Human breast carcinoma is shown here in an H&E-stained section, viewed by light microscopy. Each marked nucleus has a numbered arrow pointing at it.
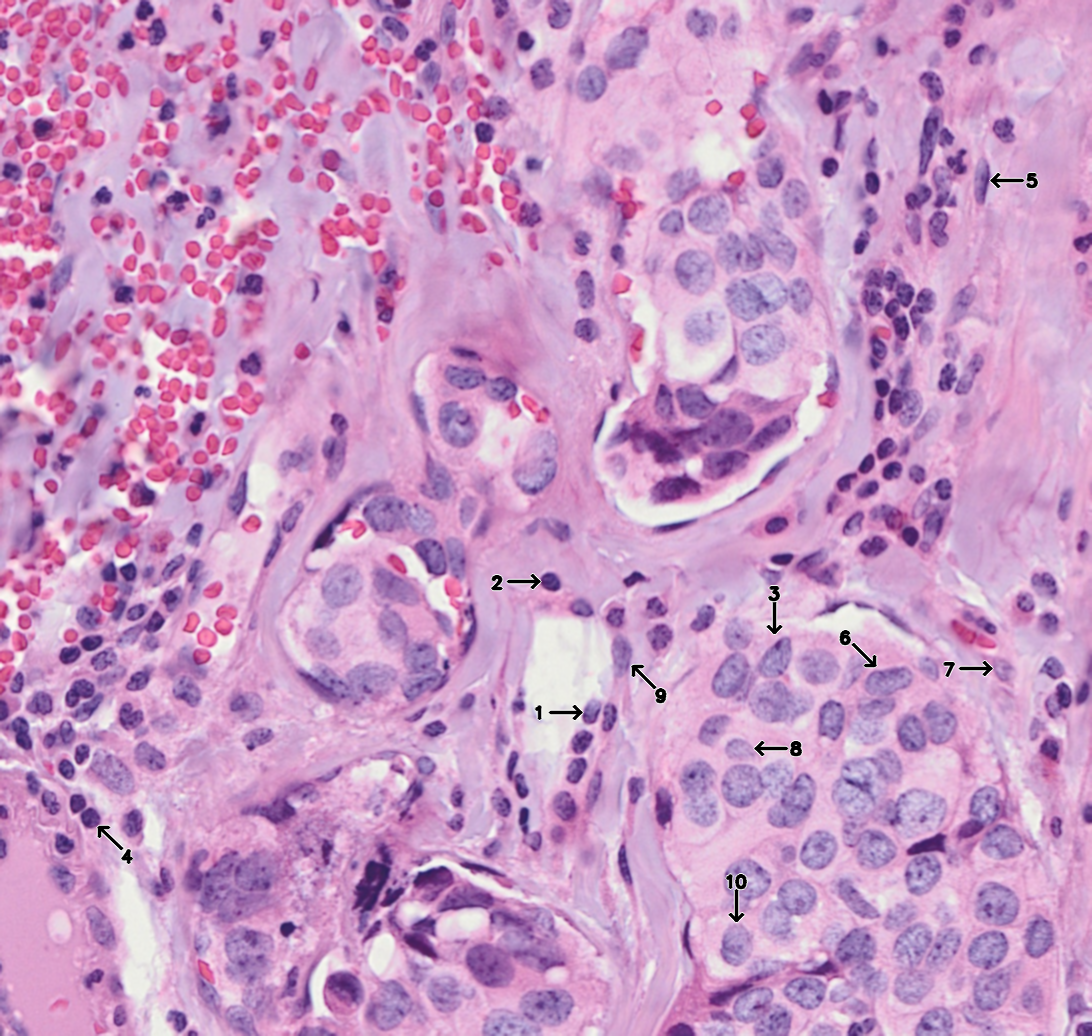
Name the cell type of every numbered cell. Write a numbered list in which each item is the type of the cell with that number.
1. lymphocyte
2. lymphocyte
3. carcinoma cell
4. lymphocyte
5. fibroblast
6. carcinoma cell
7. endothelial cell
8. carcinoma cell
9. fibroblast
10. carcinoma cell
